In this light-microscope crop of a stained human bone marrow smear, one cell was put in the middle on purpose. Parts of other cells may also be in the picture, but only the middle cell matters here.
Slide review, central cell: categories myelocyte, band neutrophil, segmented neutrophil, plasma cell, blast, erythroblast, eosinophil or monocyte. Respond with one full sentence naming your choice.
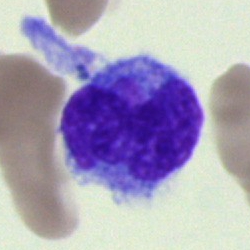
This crop is built around a monocyte at its centre.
